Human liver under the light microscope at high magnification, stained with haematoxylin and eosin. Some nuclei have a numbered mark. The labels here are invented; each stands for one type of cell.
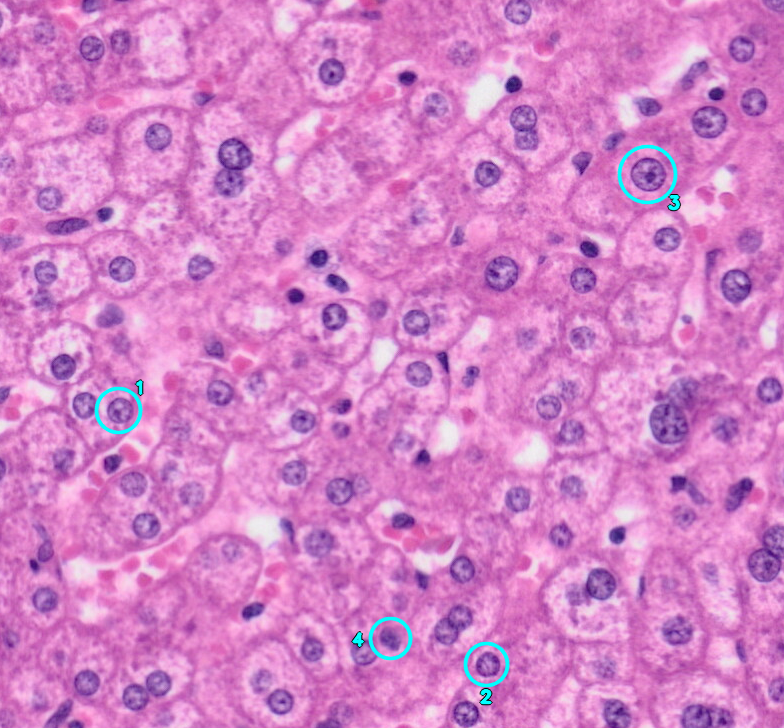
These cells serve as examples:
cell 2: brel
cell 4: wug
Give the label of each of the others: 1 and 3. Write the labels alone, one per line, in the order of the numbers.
brel
brel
